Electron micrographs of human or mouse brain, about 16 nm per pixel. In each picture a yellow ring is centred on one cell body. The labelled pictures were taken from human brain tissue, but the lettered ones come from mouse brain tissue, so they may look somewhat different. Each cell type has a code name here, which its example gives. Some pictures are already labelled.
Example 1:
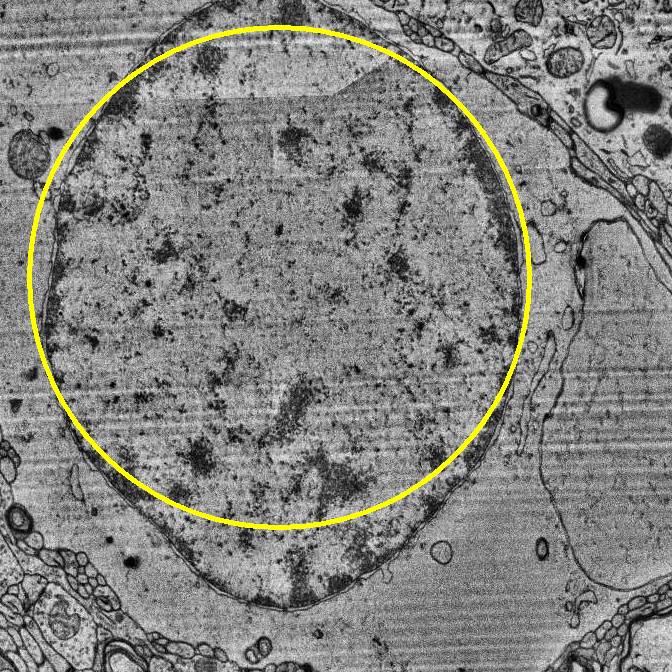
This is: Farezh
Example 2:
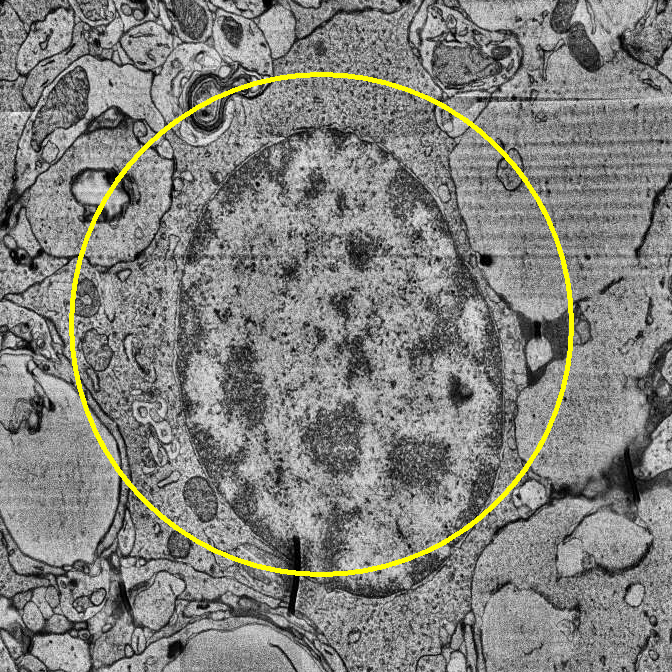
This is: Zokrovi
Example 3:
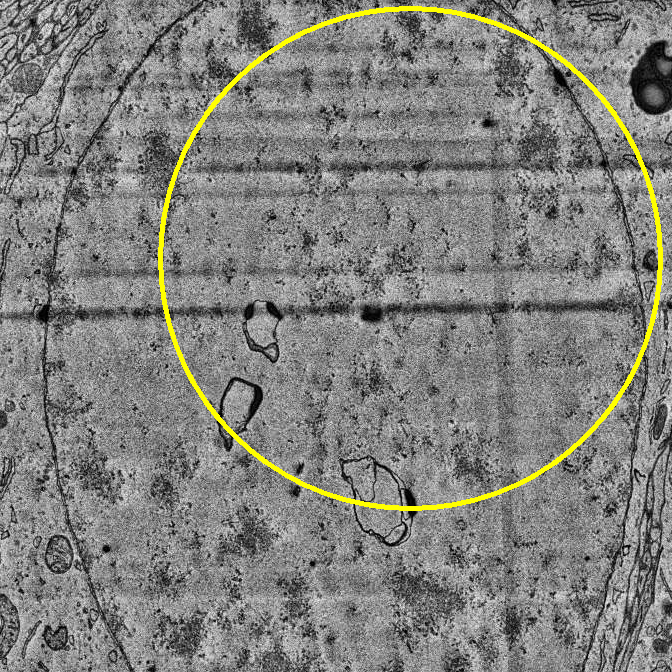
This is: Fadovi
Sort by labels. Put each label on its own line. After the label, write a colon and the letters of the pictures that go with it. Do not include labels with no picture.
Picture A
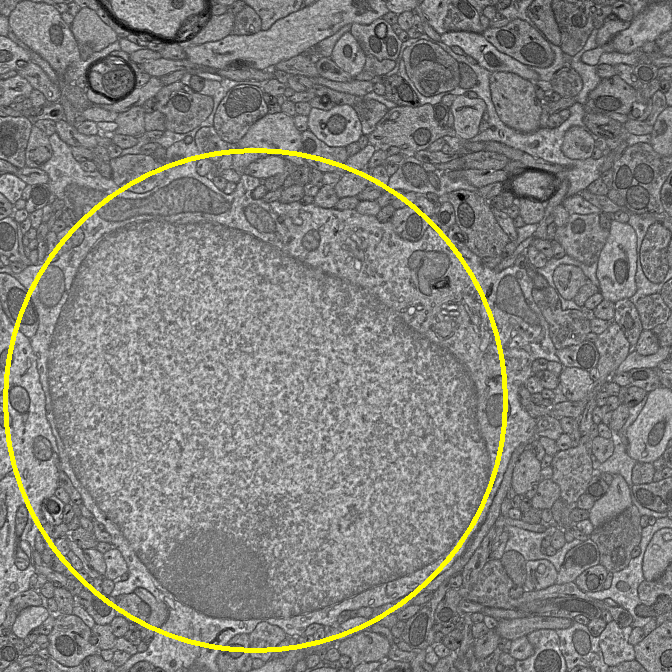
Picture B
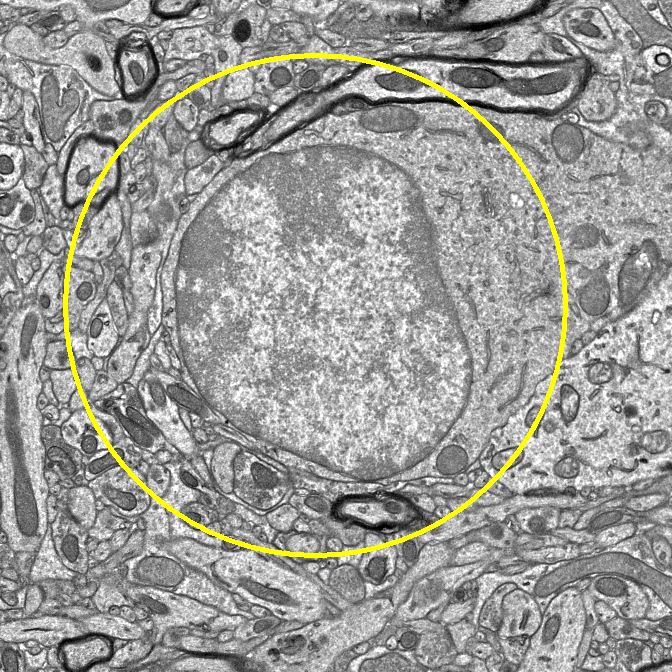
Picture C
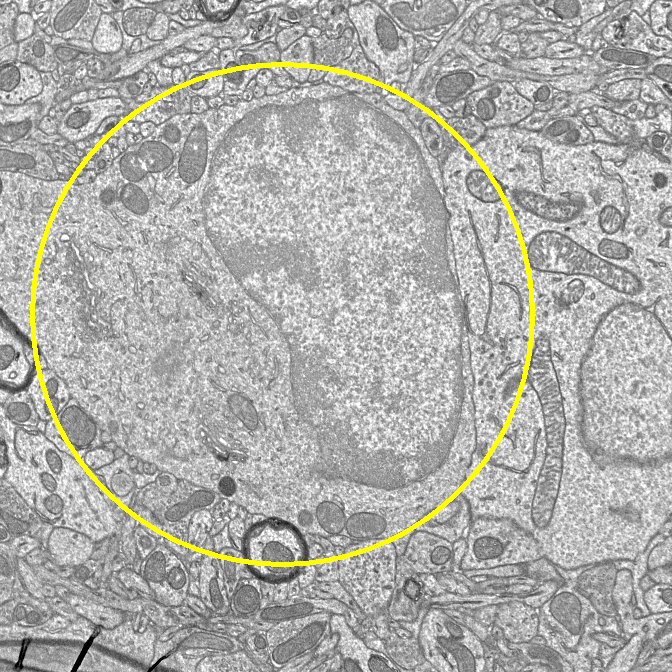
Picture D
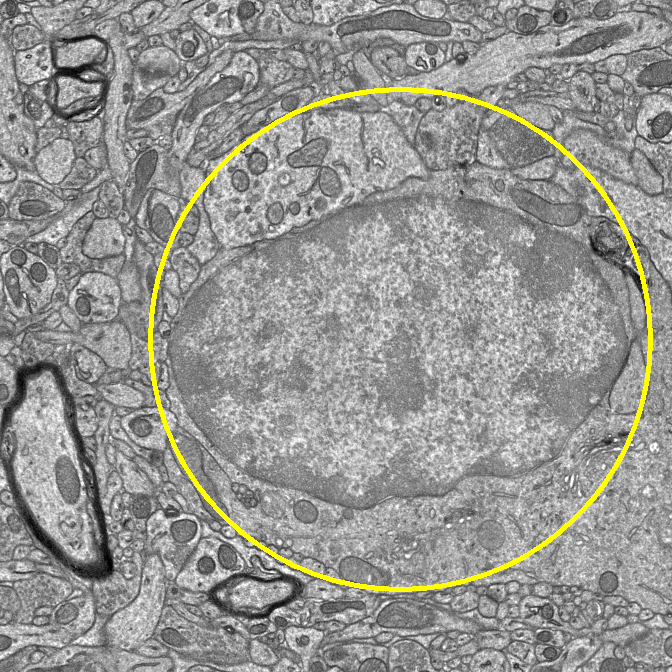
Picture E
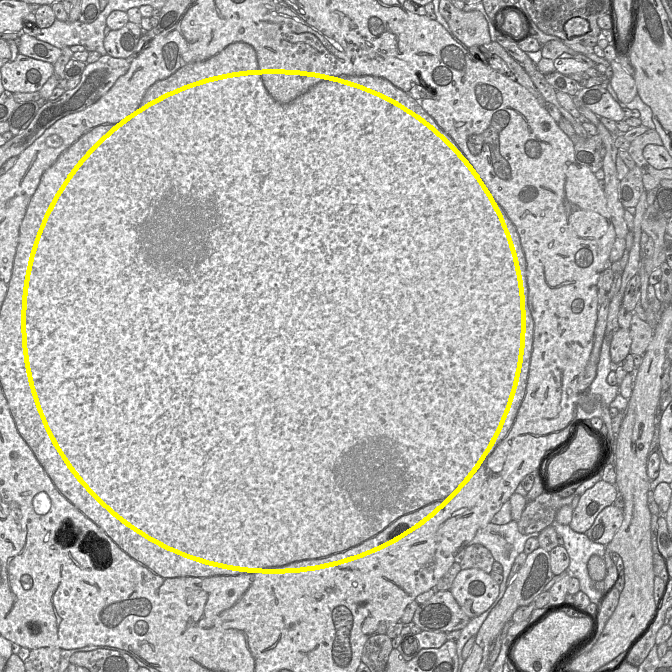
Farezh: A
Zokrovi: B, C, D
Fadovi: E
